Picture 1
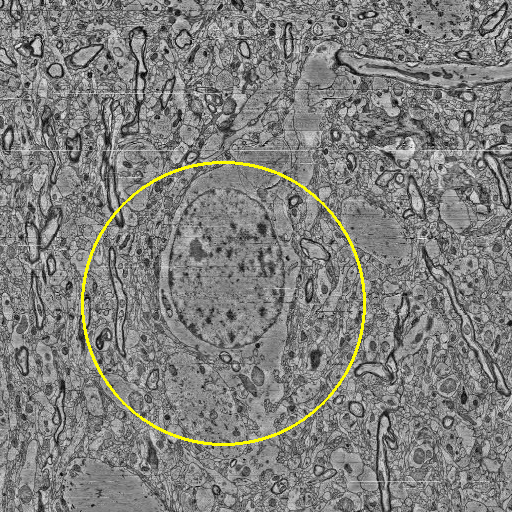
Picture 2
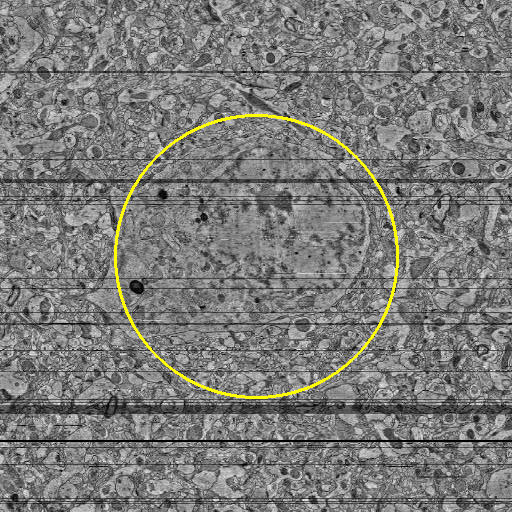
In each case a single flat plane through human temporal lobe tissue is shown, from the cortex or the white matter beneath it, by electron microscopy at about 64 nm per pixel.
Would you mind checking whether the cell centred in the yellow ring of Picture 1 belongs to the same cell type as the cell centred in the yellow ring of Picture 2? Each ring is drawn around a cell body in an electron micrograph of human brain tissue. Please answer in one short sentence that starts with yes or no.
No, the two cells are of two types.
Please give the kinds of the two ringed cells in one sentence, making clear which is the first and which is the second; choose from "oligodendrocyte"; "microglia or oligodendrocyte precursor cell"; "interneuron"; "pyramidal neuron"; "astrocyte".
In the second picture the ringed cell is an interneuron; in the first it is an astrocyte.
